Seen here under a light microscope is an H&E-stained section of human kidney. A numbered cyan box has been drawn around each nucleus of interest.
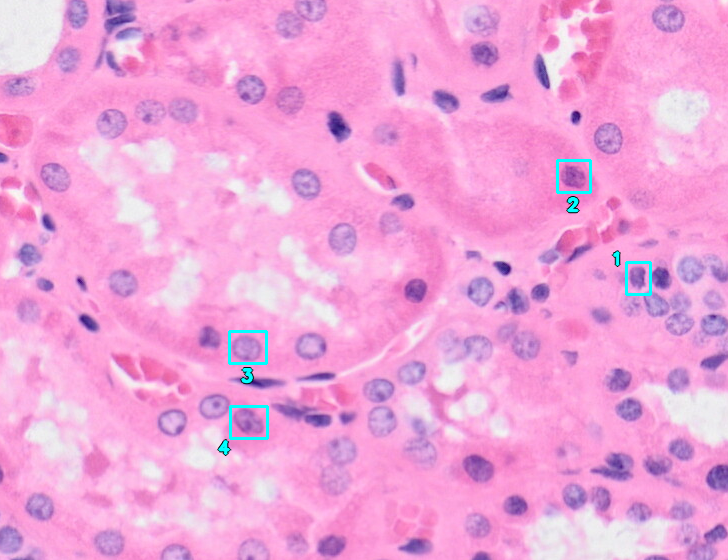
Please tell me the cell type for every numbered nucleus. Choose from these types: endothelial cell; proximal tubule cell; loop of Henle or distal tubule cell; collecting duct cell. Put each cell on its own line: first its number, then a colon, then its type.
1: collecting duct cell
2: proximal tubule cell
3: proximal tubule cell
4: proximal tubule cell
